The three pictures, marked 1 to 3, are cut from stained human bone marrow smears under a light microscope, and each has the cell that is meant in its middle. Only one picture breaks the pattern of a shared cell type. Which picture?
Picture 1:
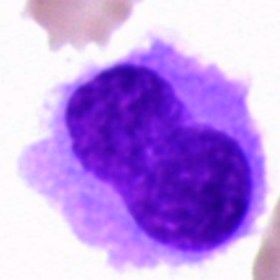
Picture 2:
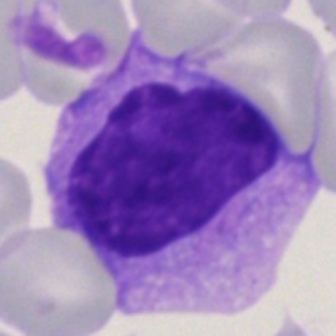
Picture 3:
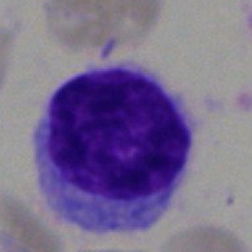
2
